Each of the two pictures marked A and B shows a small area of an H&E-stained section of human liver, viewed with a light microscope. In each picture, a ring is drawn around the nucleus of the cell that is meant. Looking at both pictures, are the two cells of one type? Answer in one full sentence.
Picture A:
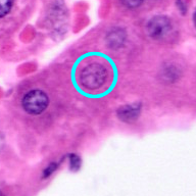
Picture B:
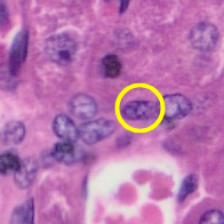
No, the types are not the same, since picture A shows a hepatocyte and picture B a cholangiocyte.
